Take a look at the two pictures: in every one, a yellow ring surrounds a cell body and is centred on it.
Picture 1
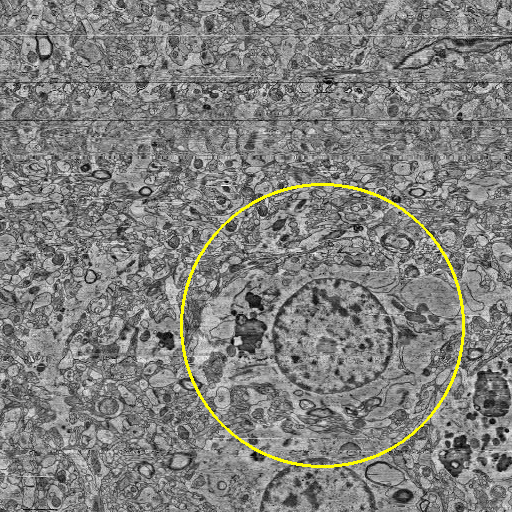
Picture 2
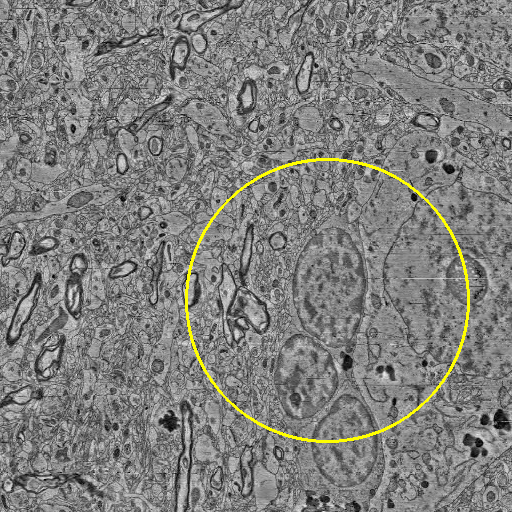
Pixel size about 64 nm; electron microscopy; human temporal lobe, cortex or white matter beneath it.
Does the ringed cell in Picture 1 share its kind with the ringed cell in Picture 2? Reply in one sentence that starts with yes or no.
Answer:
No, the two centred cells, one per picture, are of two kinds.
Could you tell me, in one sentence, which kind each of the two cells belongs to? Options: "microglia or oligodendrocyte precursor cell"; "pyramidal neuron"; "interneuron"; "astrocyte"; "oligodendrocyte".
At the centre of the first ring sits an astrocyte, and at the centre of the second sits an oligodendrocyte.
